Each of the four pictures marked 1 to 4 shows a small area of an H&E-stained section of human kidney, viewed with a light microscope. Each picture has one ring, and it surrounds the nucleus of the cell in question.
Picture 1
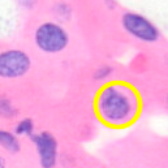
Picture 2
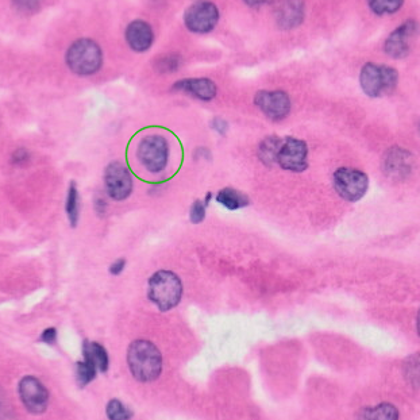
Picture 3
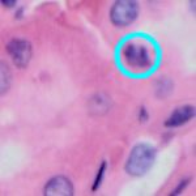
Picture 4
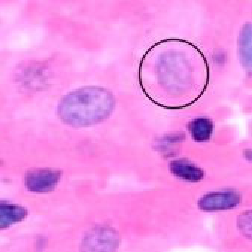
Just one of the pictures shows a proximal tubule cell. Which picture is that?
4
